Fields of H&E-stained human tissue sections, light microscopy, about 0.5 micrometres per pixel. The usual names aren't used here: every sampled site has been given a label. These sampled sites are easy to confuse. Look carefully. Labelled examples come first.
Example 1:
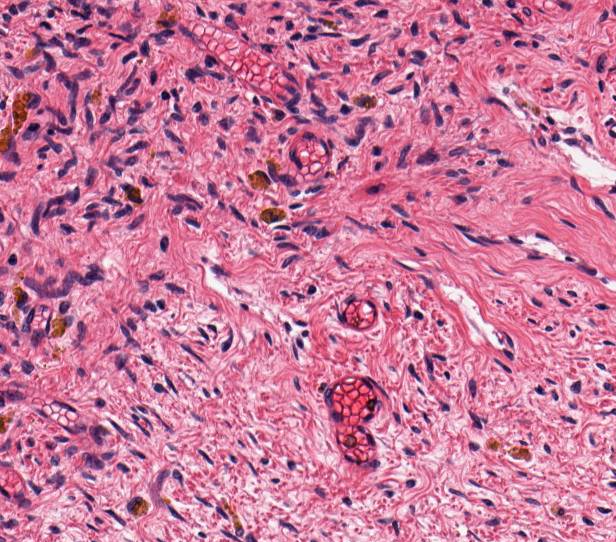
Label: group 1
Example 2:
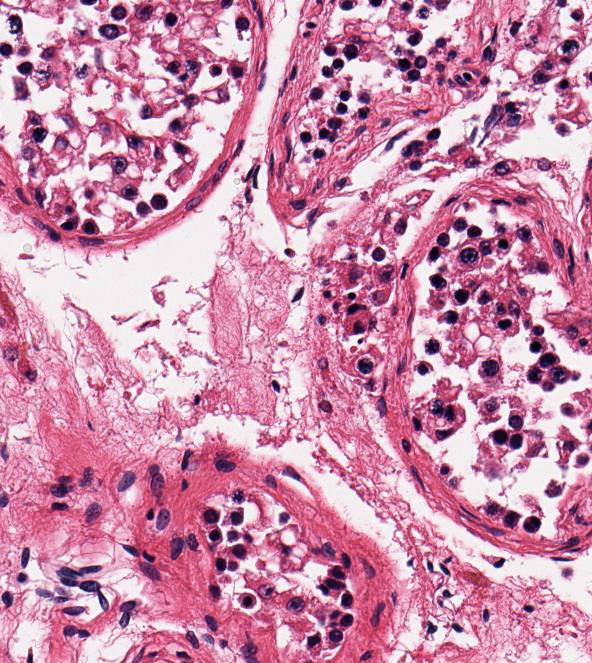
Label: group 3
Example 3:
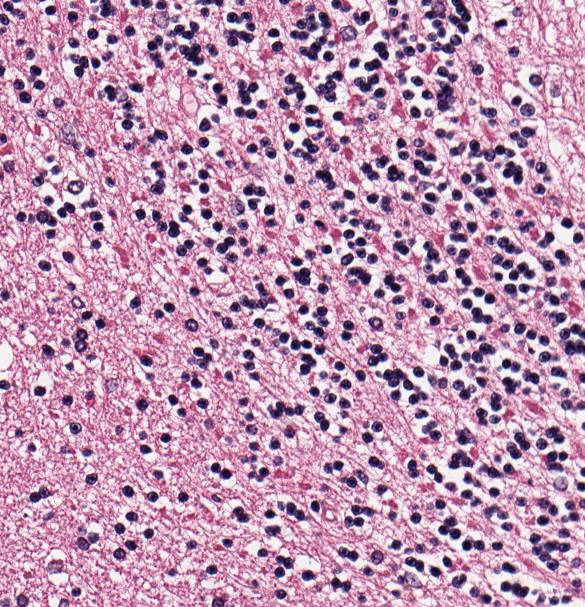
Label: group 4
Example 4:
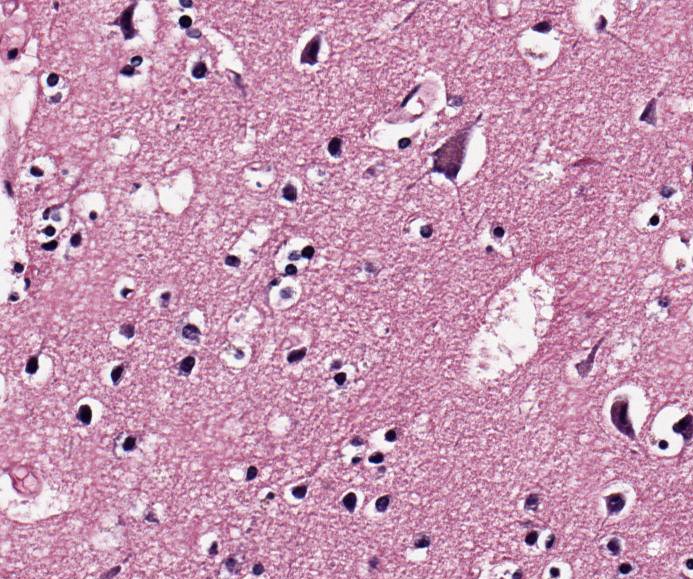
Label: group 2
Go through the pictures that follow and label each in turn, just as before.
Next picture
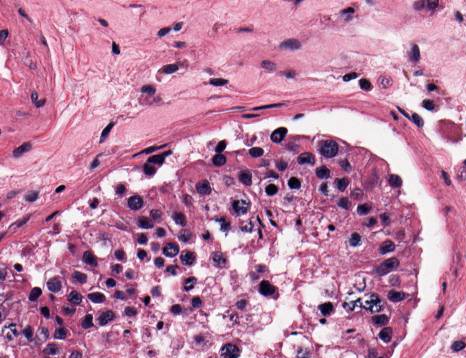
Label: group 3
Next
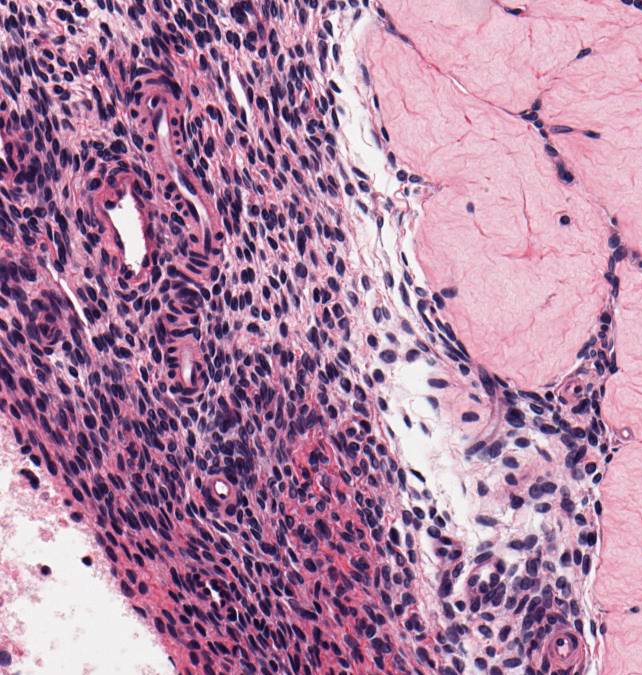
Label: group 1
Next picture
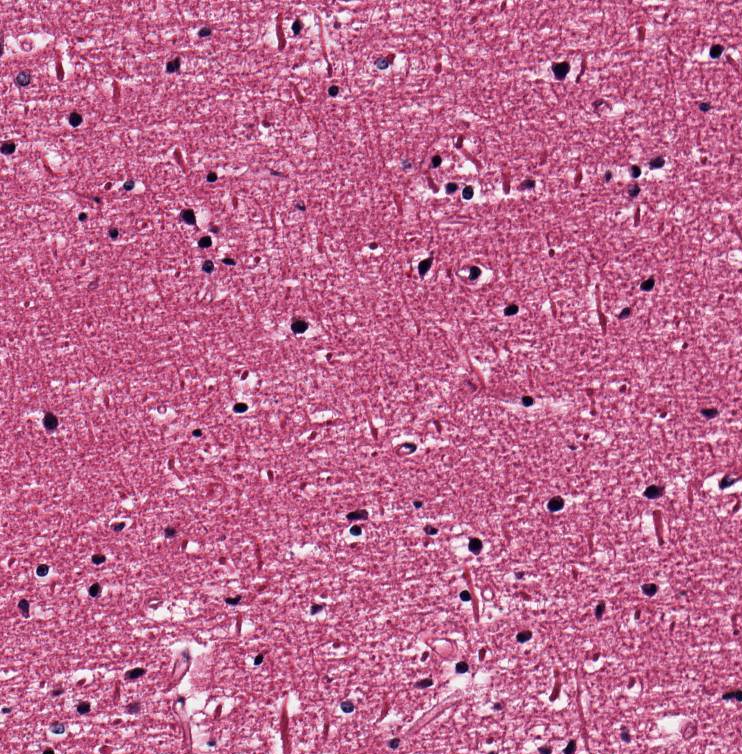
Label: group 4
